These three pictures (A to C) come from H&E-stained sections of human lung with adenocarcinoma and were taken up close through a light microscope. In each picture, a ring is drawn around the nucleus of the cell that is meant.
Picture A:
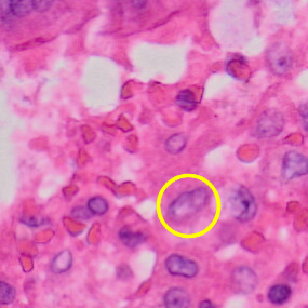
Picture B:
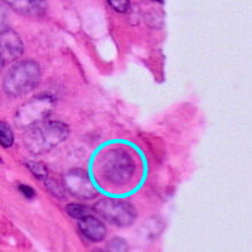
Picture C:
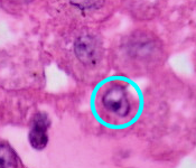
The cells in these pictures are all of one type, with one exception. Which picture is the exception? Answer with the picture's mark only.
B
